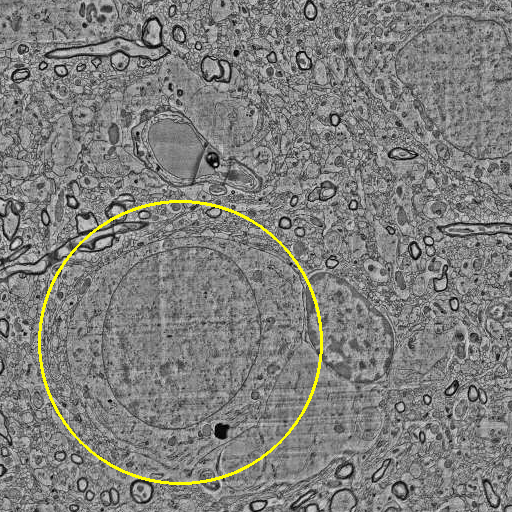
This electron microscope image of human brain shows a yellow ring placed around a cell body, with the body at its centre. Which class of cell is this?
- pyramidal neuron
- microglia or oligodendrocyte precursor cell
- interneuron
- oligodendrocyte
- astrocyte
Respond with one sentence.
The cell body at the ring's centre is a pyramidal neuron.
